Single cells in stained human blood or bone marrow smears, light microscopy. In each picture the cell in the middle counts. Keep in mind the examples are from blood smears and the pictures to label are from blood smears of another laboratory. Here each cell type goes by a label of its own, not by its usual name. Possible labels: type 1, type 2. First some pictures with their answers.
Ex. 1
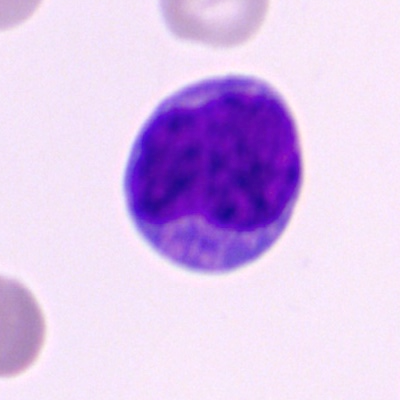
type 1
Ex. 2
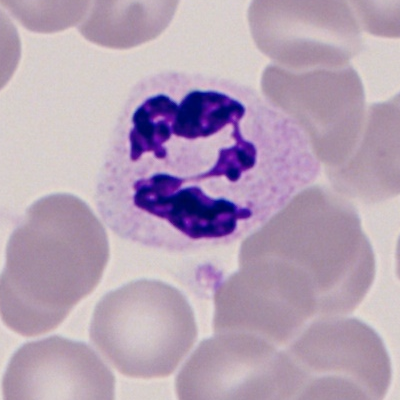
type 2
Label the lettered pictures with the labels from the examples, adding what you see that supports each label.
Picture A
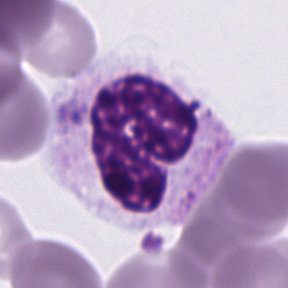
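Label: type 2. The cytoplasm is abundant and forms a wide rim around the nucleus.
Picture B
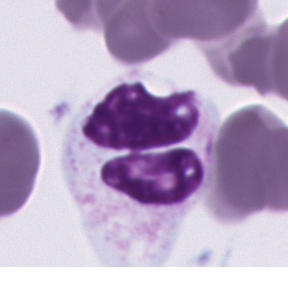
Label: type 2. The nucleus is made of two separate lobes.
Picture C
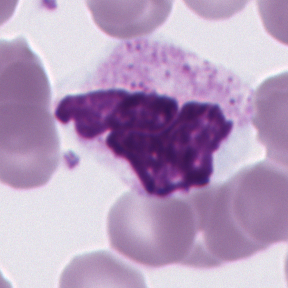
Label: type 2. The cytoplasm is pale, nearly colourless with a faint pink tinge.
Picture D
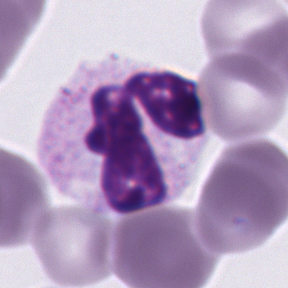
Label: type 2. The nucleus is divided into two large lobes.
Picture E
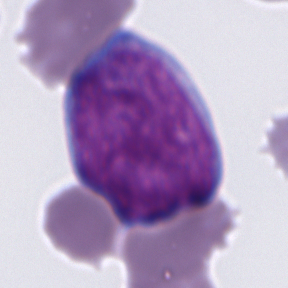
Label: type 1. The cytoplasm forms only a thin rim around the nucleus.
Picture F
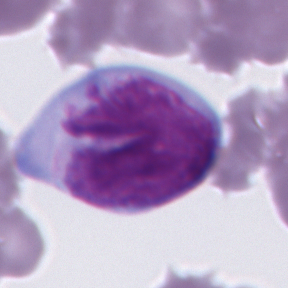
Label: type 1. The nucleus fills most of the cell and lies toward the right side.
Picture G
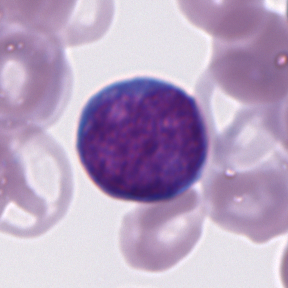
Label: type 1. The thin rim of cytoplasm is deep blue.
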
